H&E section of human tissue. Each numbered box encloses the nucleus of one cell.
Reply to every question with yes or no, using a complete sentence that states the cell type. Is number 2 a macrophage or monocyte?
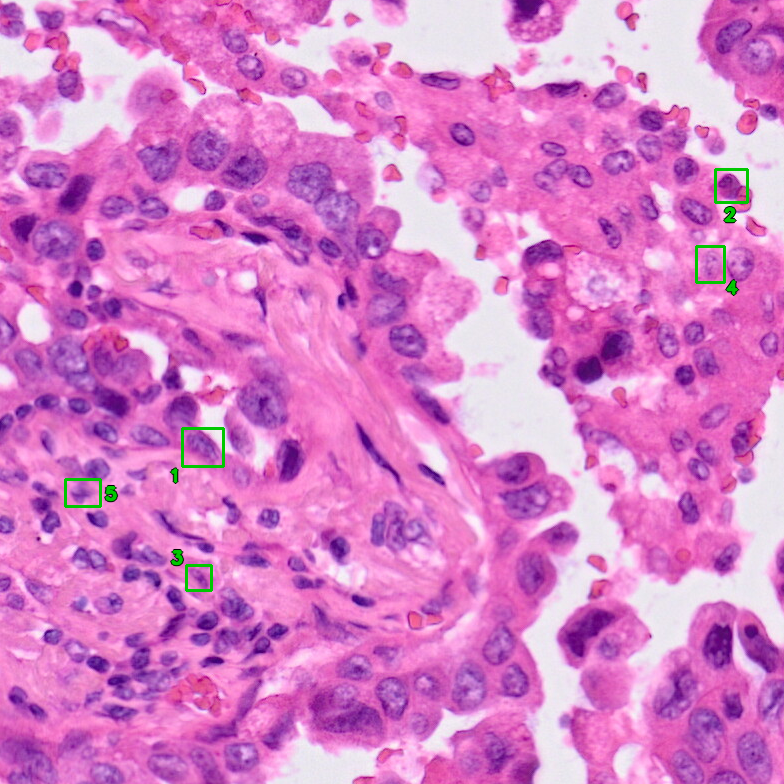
Yes, the cell at marker 2 is a macrophage or monocyte.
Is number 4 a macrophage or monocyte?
Yes, the cell sitting at number 4 is a macrophage or monocyte.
